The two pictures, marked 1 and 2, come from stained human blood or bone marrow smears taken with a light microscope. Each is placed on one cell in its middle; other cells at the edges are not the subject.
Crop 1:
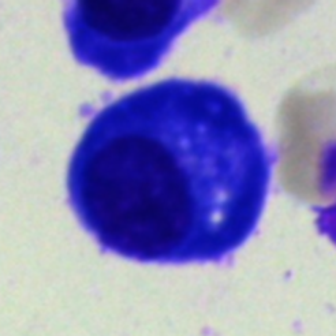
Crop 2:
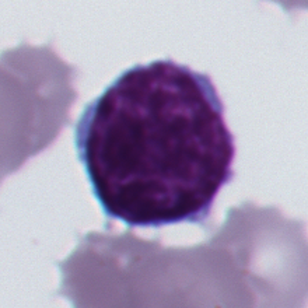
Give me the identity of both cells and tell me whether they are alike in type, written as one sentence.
No, crop 1 shows a plasma cell, with a lymphocyte shown in crop 2.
